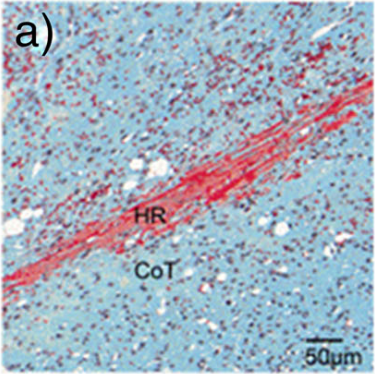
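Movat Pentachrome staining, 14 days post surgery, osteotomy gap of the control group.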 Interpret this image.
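The connective tissue has a pale blue matrix in which many small cells with dark, round to oval nuclei are spread fairly evenly. A narrow streak of bright red, fibrous material crosses the field diagonally, its strands running in parallel. Scattered small empty round spaces are seen in the matrix. The red streak is thin compared with the surrounding blue tissue, which occupies most of the field.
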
